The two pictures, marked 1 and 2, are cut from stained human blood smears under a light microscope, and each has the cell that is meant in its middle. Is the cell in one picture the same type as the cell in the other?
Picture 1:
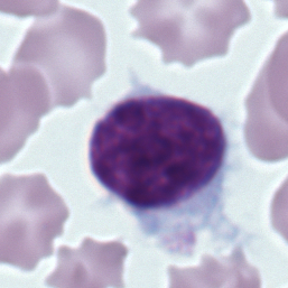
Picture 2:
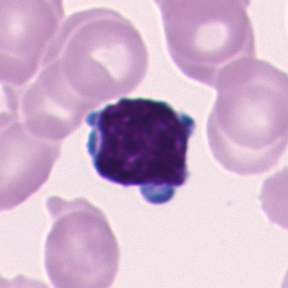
no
